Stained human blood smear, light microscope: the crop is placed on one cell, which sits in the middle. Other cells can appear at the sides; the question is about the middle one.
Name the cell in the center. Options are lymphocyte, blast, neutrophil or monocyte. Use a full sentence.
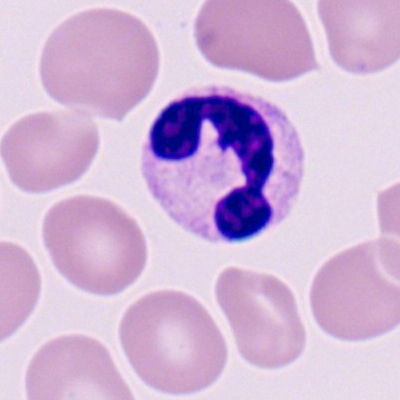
Seen at the centre of the crop is a neutrophil.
